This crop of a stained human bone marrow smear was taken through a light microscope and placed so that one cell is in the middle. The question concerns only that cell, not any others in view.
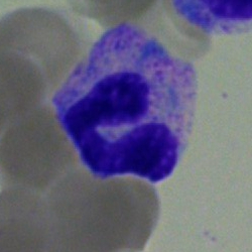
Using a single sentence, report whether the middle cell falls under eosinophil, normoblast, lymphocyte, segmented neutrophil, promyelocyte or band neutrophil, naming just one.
The cell occupying the middle of the crop is a segmented neutrophil.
